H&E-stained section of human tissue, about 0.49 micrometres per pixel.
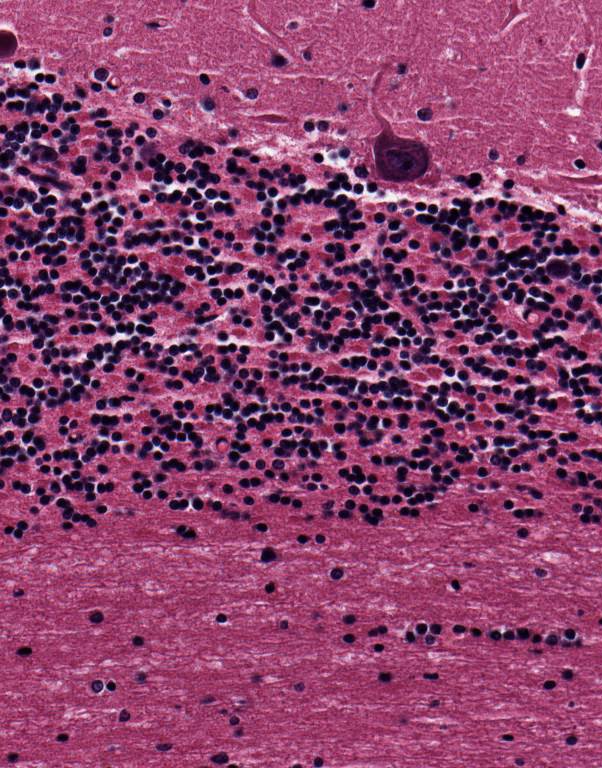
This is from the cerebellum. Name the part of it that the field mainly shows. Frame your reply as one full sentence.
This section of human tissue shows the part called granular layer.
